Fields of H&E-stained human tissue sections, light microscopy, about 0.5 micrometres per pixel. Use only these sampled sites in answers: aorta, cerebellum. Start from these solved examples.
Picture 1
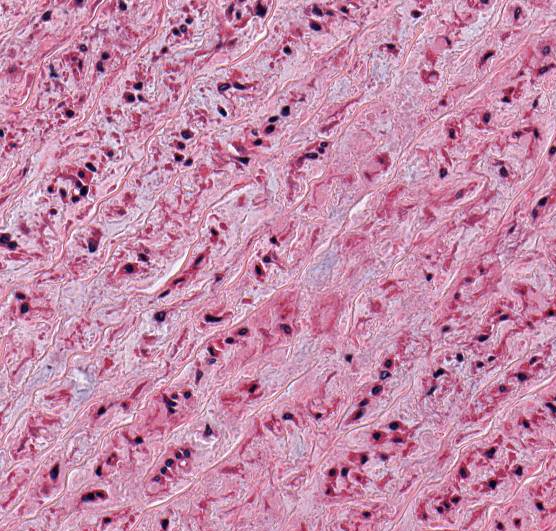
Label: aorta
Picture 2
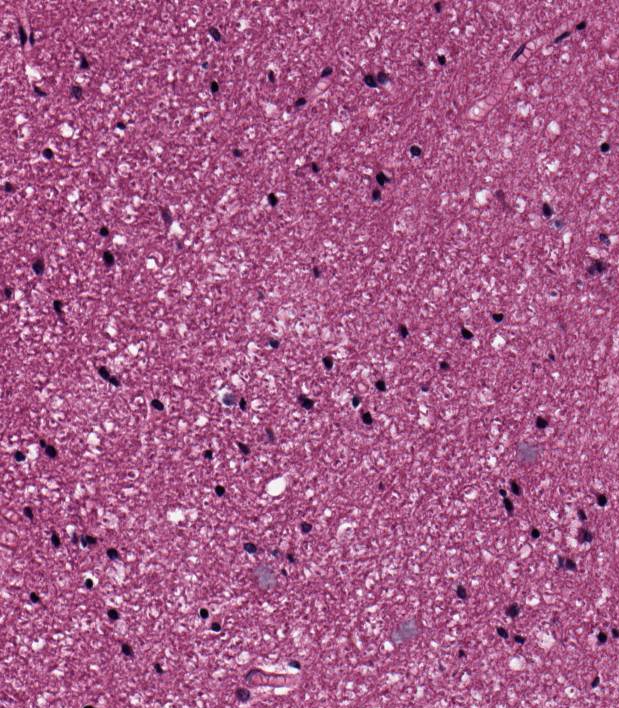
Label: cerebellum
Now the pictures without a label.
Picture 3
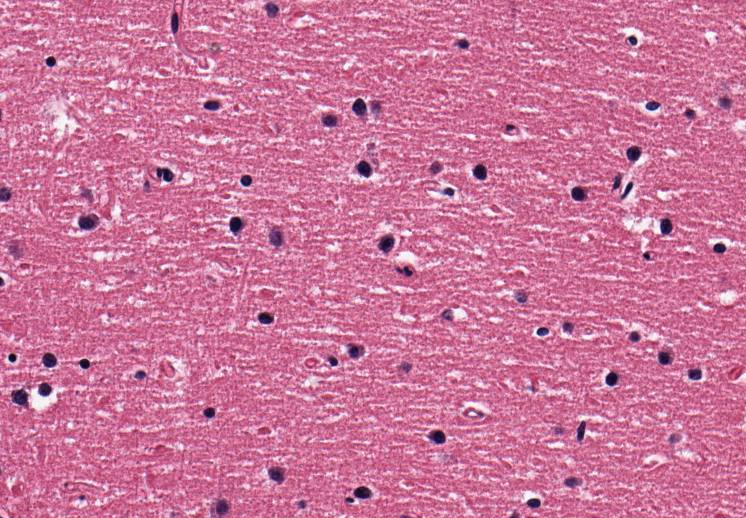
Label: cerebellum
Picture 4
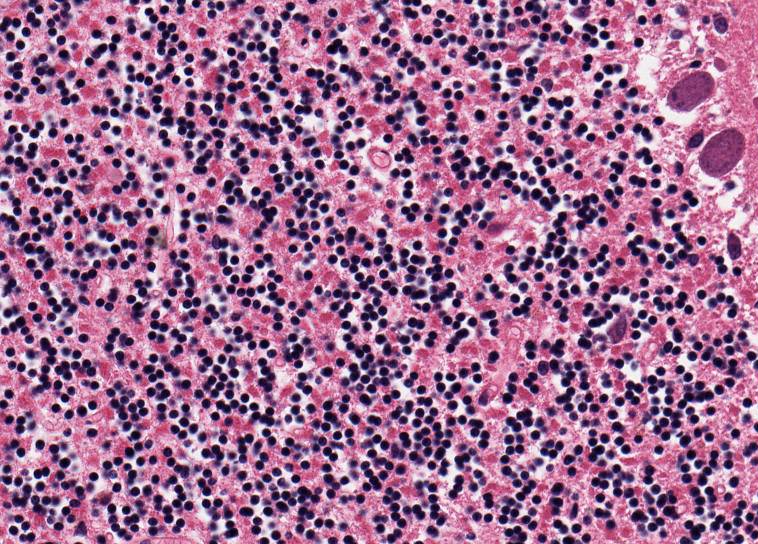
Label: cerebellum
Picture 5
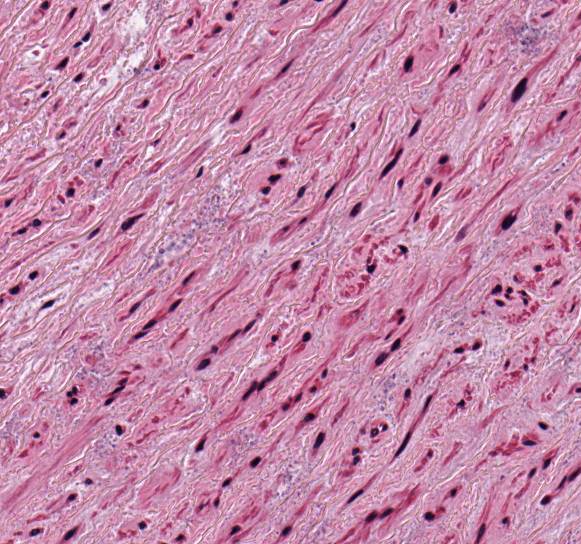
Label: aorta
